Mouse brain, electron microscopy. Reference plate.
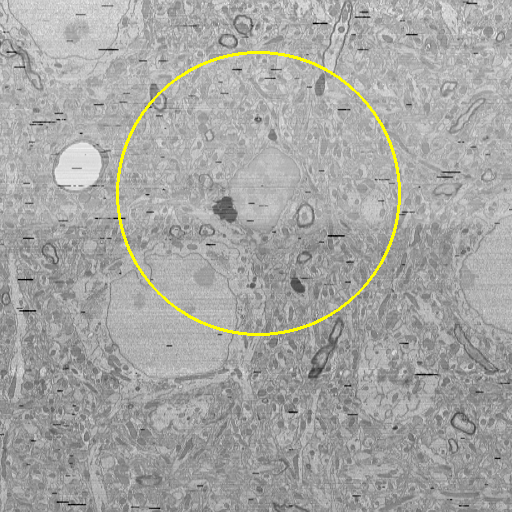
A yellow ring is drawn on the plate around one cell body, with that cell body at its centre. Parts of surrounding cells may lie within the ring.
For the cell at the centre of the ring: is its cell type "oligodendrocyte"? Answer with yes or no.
No, its cell type is another one.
